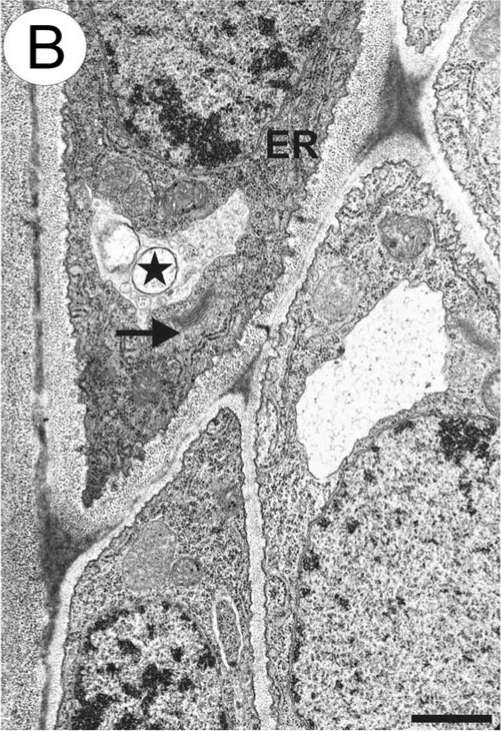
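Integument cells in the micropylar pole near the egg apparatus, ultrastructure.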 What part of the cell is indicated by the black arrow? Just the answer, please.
Non-hypertrophied dictyosomes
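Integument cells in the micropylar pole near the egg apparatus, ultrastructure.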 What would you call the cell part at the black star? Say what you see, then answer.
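The star lies in a pale, electron-lucent compartment. Small round membrane-bound vesicles lie inside the pale compartment.
Answer: Vacuole with small vesicles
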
